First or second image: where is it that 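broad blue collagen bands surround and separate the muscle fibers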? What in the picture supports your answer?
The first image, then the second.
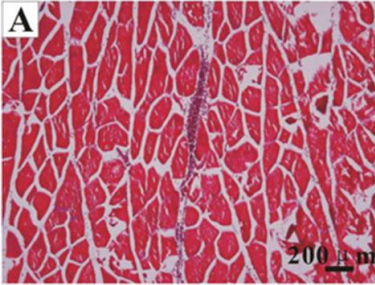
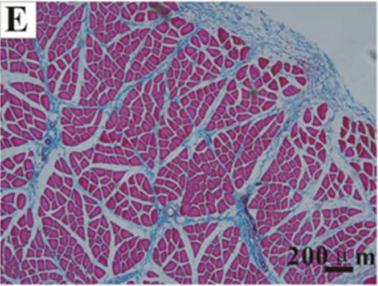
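The second image. First image: red fibers separated only by pale gaps with hardly any blue.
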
